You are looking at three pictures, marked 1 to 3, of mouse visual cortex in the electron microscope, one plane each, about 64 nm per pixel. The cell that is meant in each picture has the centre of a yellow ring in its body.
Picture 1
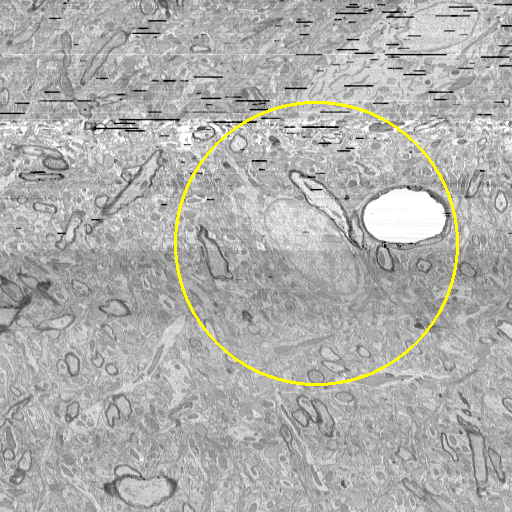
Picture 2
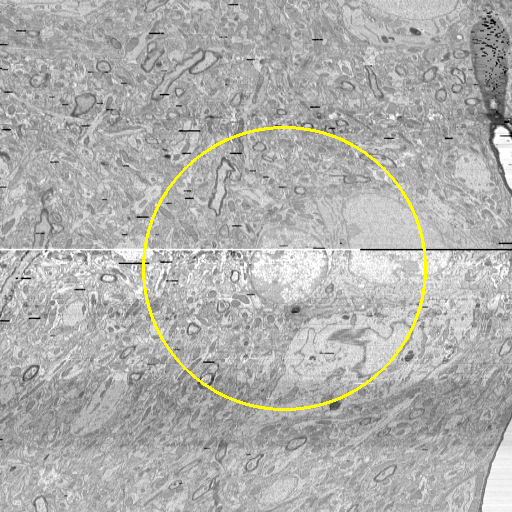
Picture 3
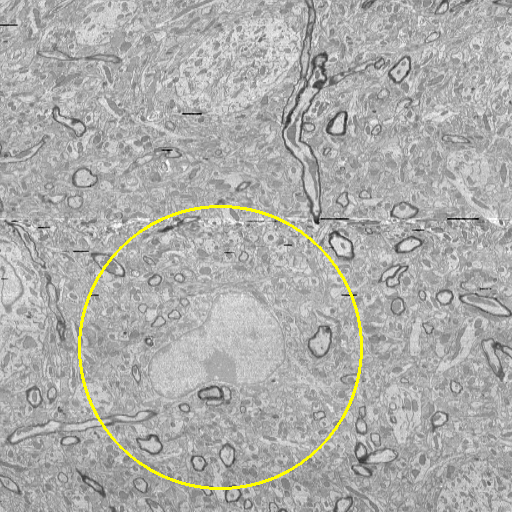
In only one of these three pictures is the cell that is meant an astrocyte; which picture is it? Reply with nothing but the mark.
3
